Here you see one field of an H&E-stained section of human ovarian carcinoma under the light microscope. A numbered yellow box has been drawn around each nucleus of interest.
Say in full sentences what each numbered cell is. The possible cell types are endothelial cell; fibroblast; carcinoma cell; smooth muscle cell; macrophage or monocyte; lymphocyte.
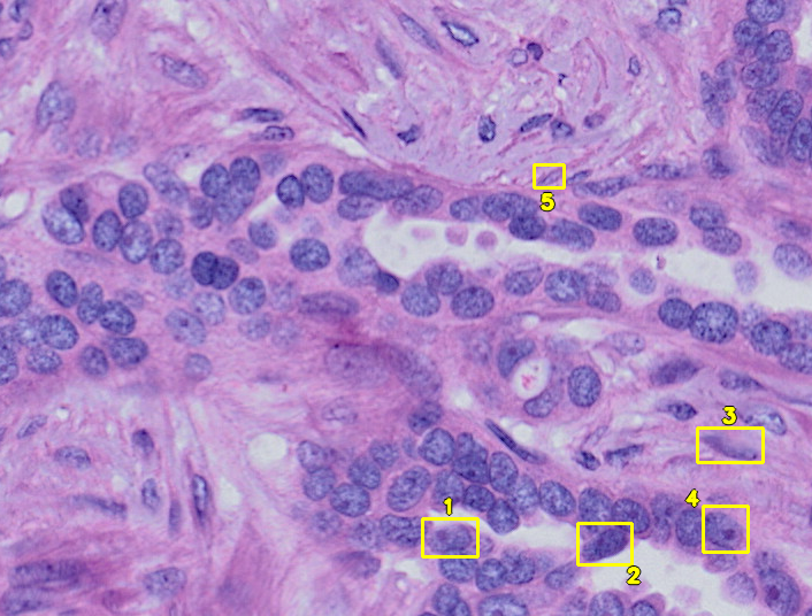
Cells 1, 2 and 4 are carcinoma cells. Cells 3 and 5 are fibroblasts.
